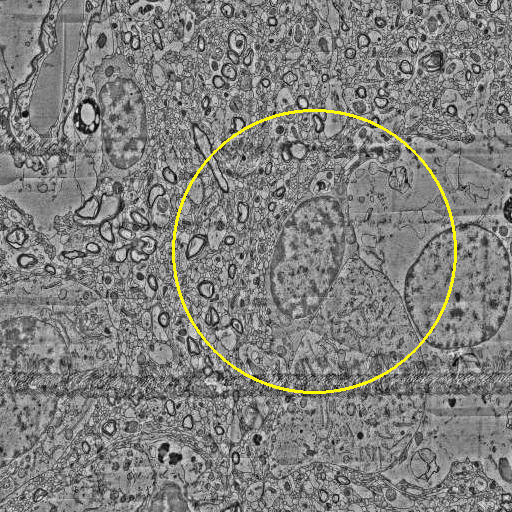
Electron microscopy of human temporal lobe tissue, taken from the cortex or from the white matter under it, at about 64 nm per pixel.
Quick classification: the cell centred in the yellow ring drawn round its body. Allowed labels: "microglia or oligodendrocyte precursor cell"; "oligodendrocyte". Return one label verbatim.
oligodendrocyte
